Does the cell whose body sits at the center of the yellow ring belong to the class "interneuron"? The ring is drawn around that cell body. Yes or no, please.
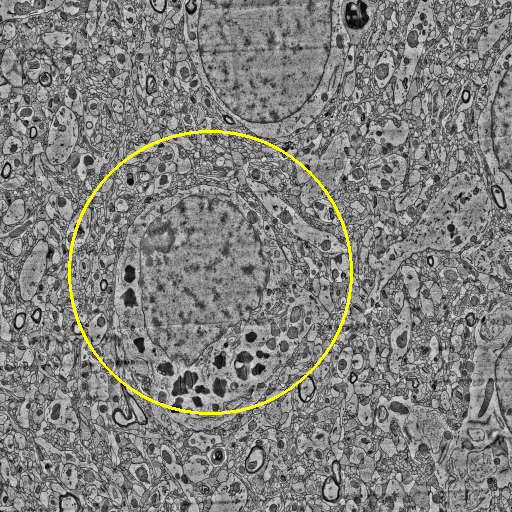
Yes, it belongs to that class.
